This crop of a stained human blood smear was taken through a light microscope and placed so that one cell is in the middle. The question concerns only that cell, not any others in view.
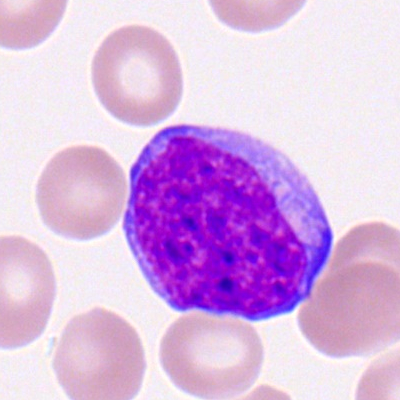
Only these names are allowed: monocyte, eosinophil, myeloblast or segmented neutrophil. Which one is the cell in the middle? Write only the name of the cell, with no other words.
myeloblast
